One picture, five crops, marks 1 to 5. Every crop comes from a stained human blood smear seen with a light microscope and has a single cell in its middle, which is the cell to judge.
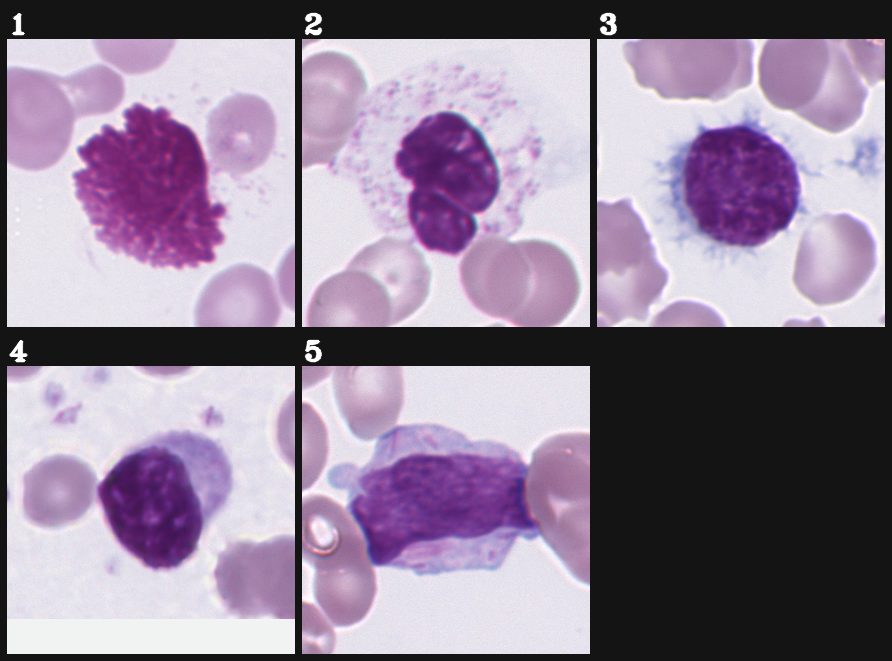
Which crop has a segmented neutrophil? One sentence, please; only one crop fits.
Crop 2 is the one to choose: it shows a segmented neutrophil.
